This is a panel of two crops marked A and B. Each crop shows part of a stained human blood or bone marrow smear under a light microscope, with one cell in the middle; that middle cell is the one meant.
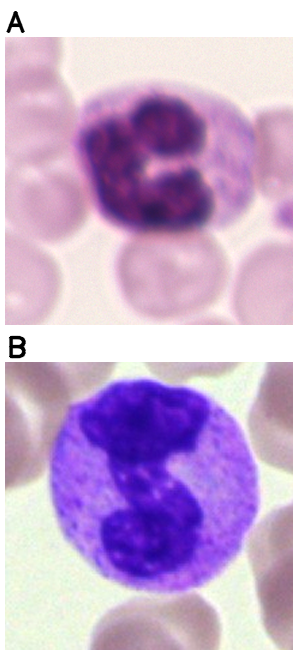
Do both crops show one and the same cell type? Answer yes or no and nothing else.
yes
